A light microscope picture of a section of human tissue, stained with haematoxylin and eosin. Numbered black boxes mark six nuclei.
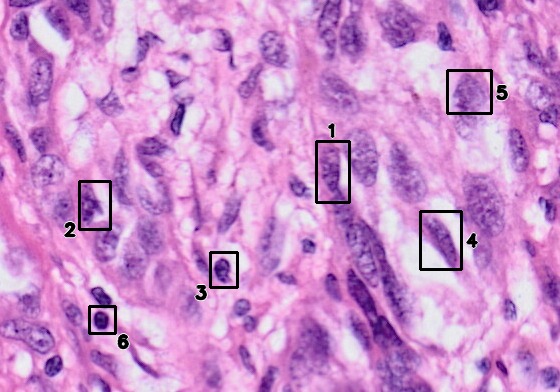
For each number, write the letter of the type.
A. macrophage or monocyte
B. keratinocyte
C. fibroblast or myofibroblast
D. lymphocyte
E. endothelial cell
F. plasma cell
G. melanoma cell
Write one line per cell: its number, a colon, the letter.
1: G
2: G
3: D
4: G
5: G
6: D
